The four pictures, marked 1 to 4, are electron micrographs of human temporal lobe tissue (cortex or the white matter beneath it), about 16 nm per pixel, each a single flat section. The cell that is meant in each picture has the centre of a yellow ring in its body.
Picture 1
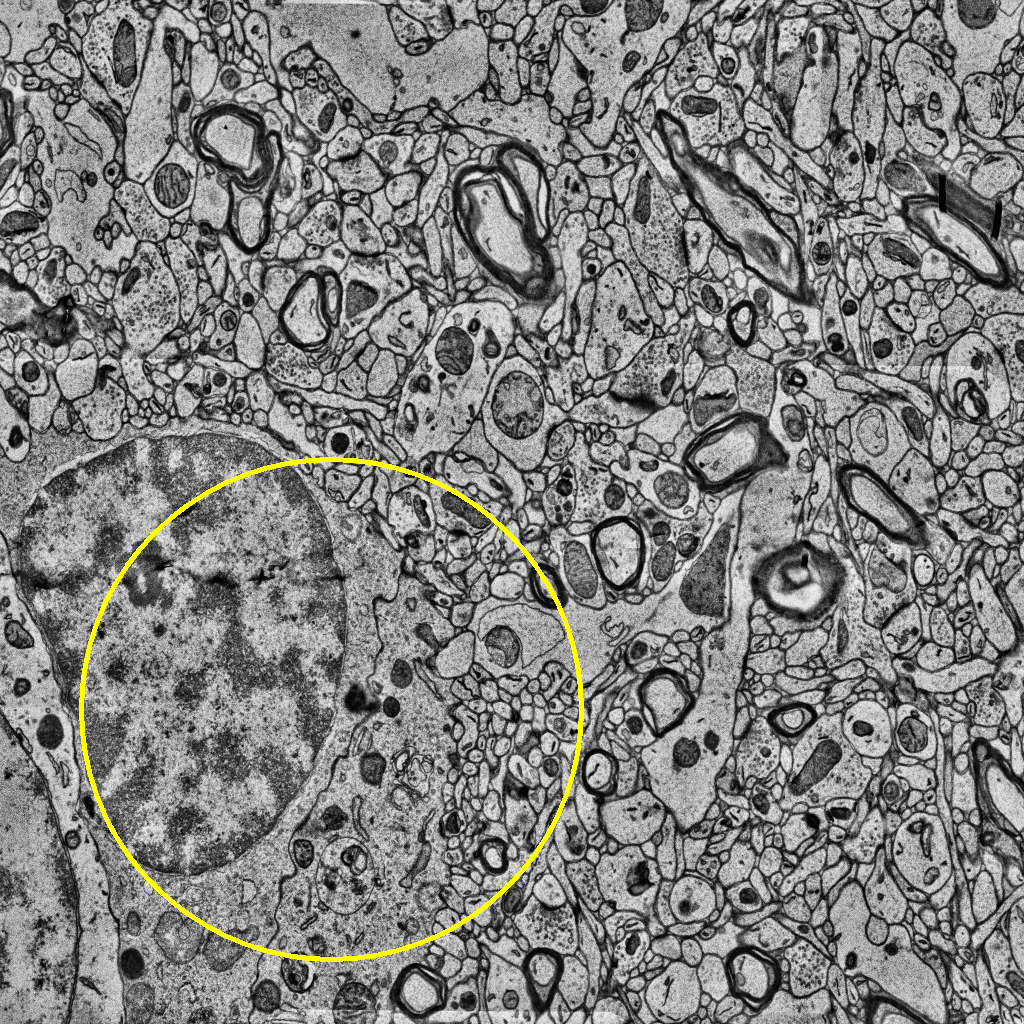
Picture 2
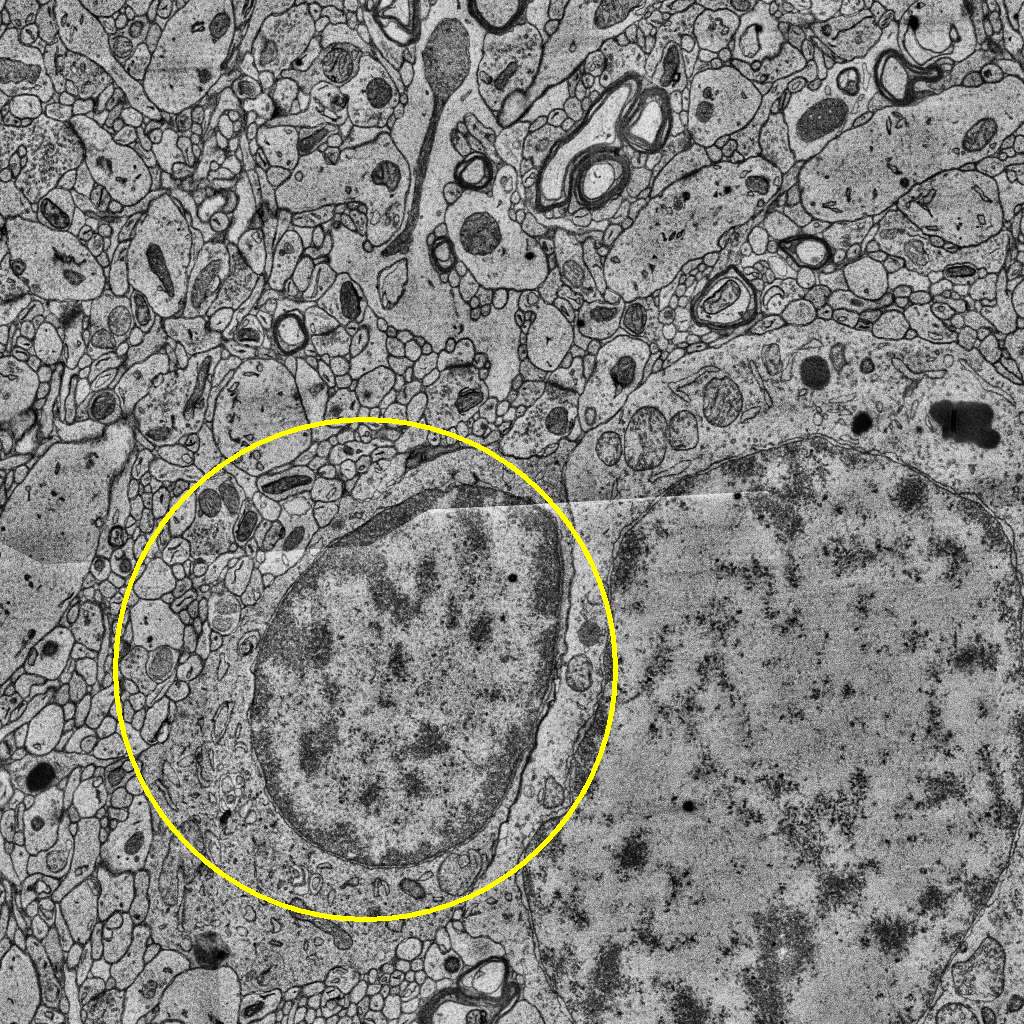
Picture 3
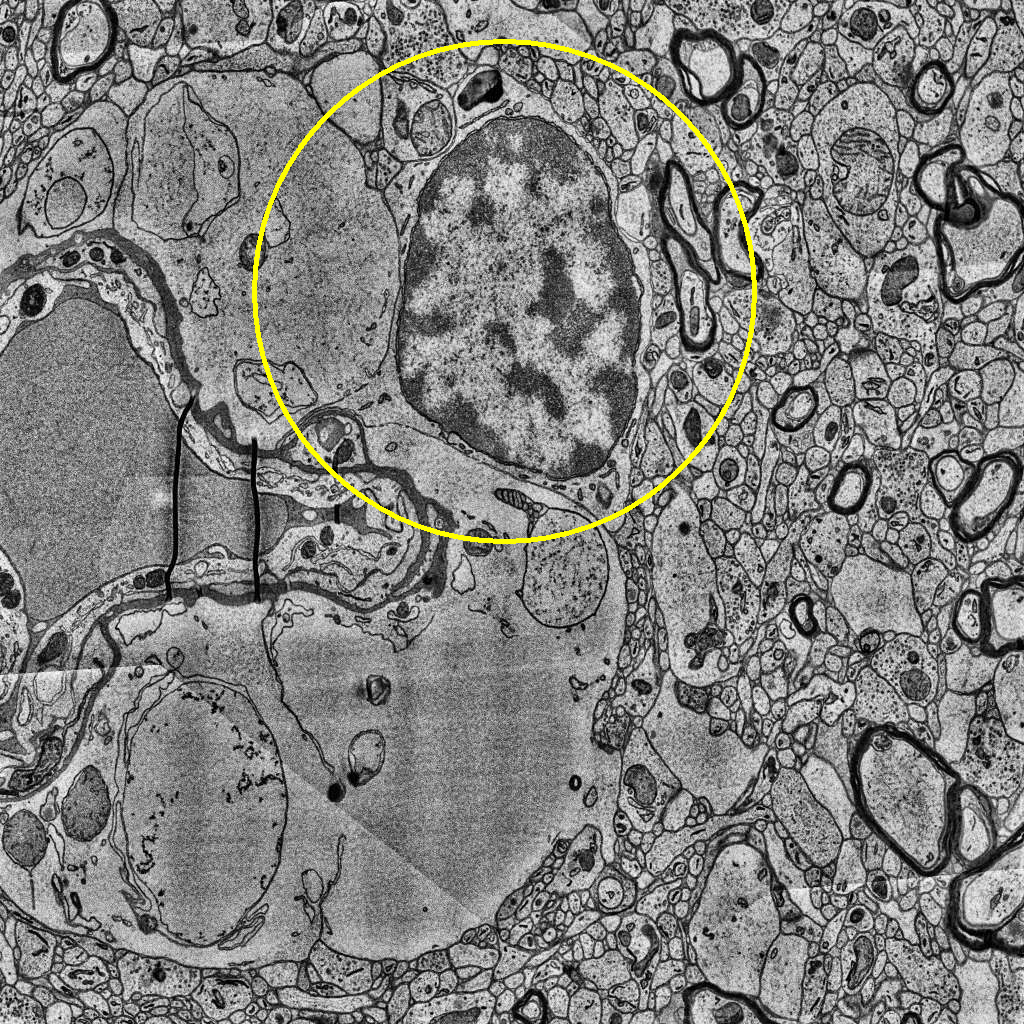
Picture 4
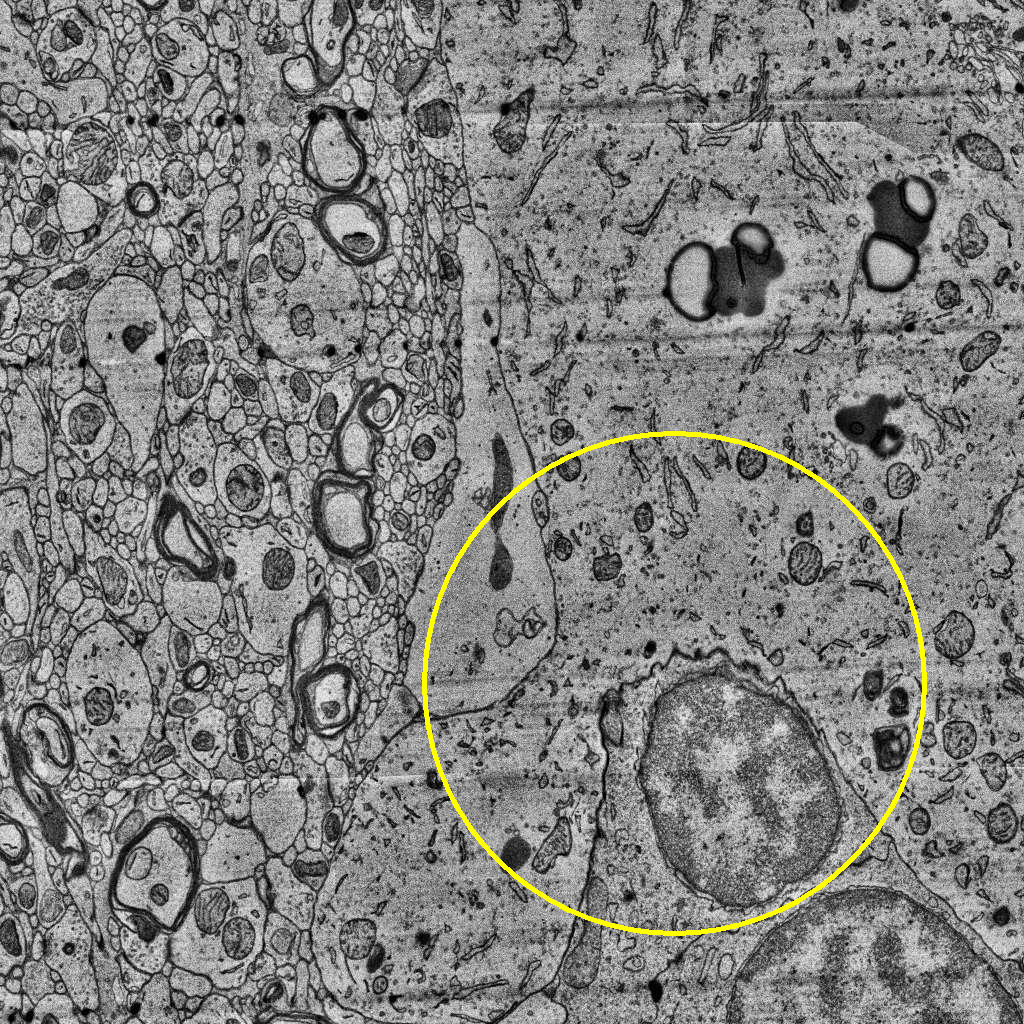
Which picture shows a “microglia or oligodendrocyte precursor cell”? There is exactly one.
It is picture 3 that shows the “microglia or oligodendrocyte precursor cell”.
